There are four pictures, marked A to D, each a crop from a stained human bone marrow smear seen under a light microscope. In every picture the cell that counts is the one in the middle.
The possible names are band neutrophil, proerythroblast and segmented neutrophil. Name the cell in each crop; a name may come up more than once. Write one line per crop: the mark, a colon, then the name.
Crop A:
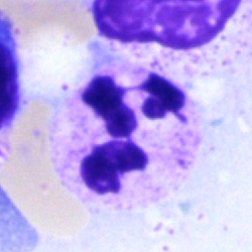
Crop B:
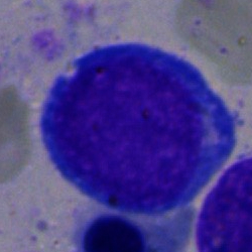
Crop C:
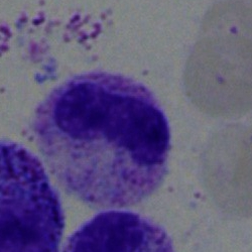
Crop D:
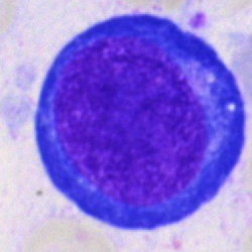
A: segmented neutrophil
B: proerythroblast
C: band neutrophil
D: proerythroblast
